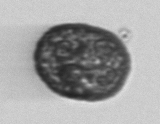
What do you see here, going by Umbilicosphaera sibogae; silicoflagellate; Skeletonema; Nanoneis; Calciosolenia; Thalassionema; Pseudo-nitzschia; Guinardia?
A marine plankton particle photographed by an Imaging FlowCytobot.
I see Umbilicosphaera sibogae.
